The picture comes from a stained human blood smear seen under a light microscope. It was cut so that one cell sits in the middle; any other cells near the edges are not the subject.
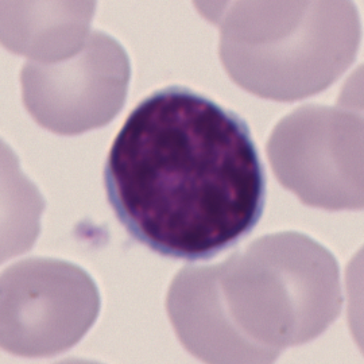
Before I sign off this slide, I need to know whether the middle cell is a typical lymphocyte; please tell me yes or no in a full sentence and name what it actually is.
Yes, the cell in the middle of the crop is a typical lymphocyte.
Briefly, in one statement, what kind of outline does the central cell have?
Smooth outline, no projections: that is the whole story of its edge.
